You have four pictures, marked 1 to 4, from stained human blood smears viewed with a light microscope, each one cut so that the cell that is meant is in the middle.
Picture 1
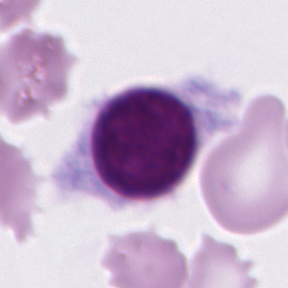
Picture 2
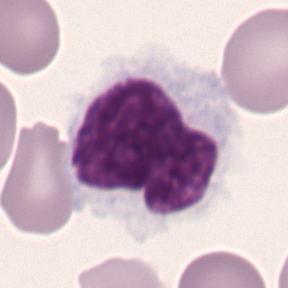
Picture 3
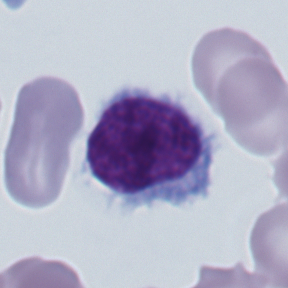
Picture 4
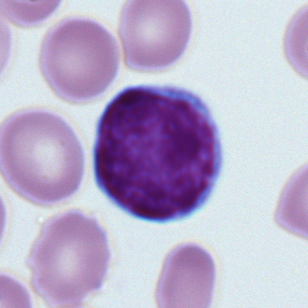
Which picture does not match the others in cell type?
4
